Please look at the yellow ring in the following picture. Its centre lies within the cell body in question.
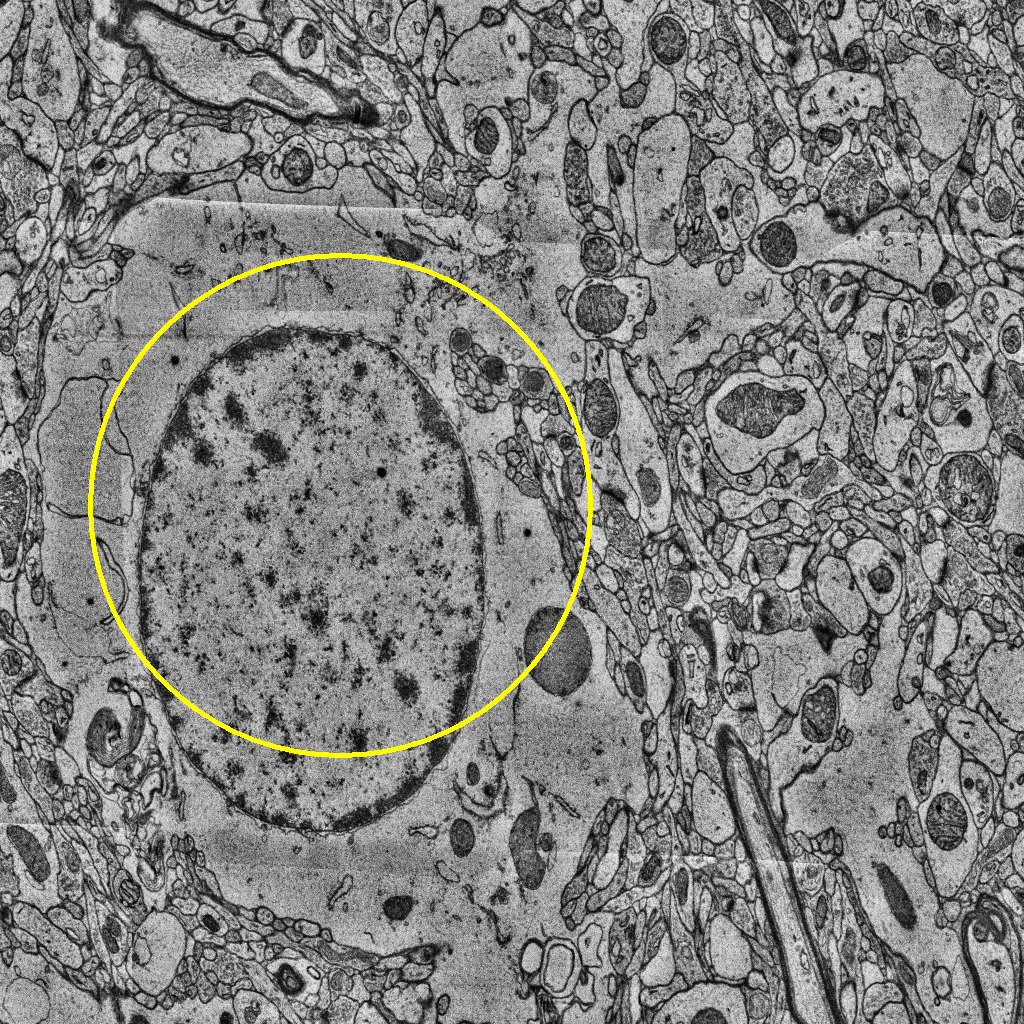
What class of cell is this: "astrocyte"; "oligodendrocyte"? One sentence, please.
The centre of the ring lies in the cell body of an astrocyte.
